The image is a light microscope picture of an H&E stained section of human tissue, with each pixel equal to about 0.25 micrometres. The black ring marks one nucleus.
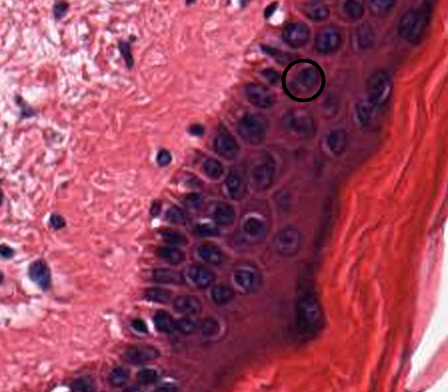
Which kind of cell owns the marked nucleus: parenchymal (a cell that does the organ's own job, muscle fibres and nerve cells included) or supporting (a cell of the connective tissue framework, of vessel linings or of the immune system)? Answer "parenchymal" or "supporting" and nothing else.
parenchymal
